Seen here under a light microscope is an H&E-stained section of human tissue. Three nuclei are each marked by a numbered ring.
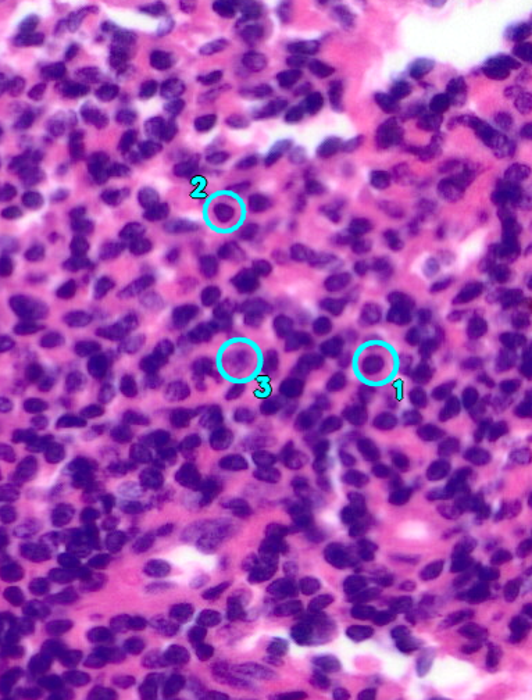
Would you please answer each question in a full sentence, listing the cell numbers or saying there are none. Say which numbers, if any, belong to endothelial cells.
Exactly one numbered cell is an endothelial cell, and that cell is number 3.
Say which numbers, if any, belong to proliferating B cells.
Any proliferating B cells present in the section are not among the numbered cells.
